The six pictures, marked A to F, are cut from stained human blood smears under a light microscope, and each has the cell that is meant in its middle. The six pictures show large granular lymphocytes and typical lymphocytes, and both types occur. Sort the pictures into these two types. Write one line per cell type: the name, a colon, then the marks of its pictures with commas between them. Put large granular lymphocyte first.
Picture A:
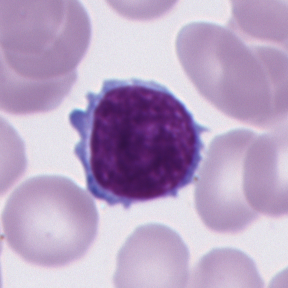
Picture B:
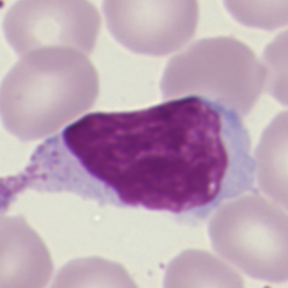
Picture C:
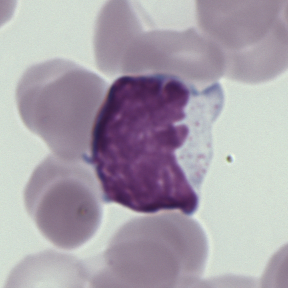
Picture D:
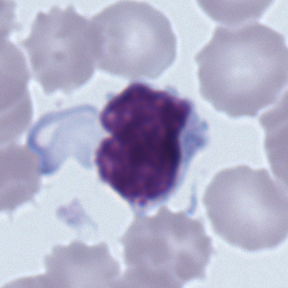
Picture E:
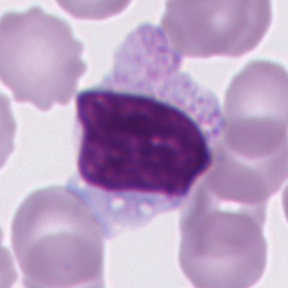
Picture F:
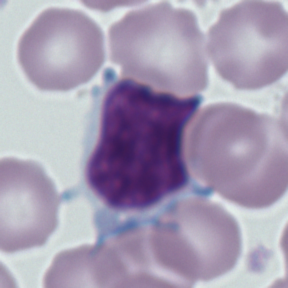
large granular lymphocyte: B, C, E
typical lymphocyte: A, D, F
